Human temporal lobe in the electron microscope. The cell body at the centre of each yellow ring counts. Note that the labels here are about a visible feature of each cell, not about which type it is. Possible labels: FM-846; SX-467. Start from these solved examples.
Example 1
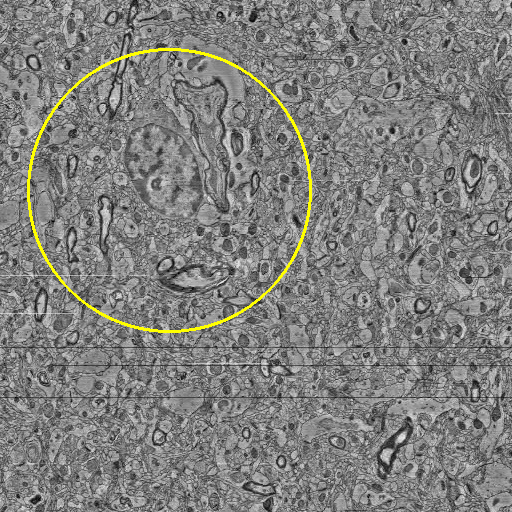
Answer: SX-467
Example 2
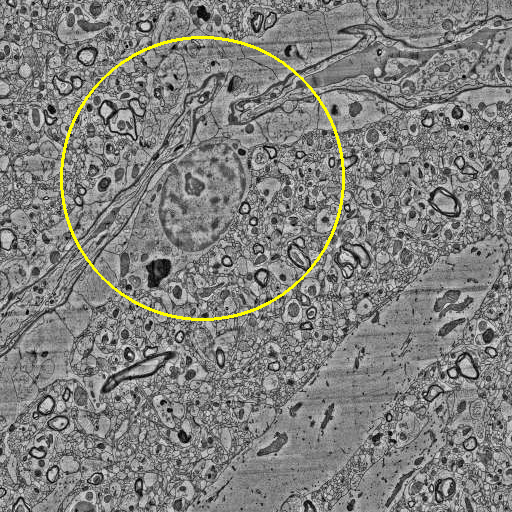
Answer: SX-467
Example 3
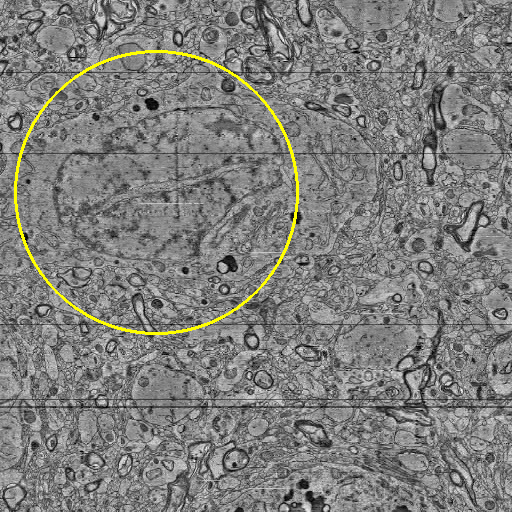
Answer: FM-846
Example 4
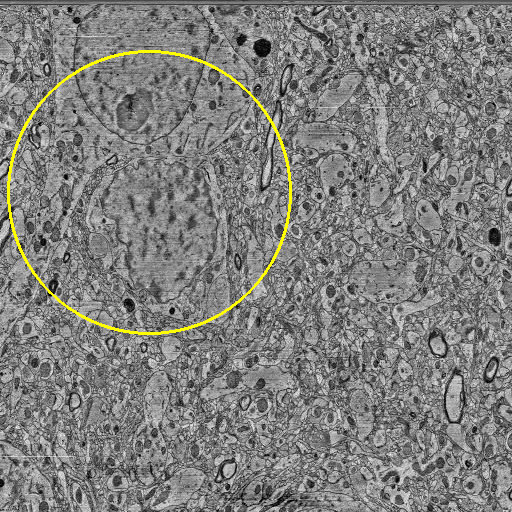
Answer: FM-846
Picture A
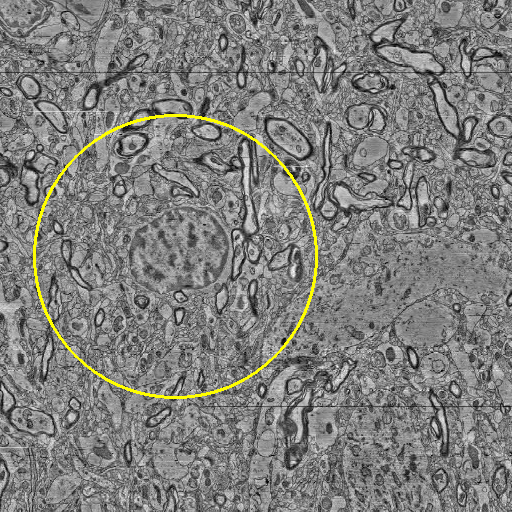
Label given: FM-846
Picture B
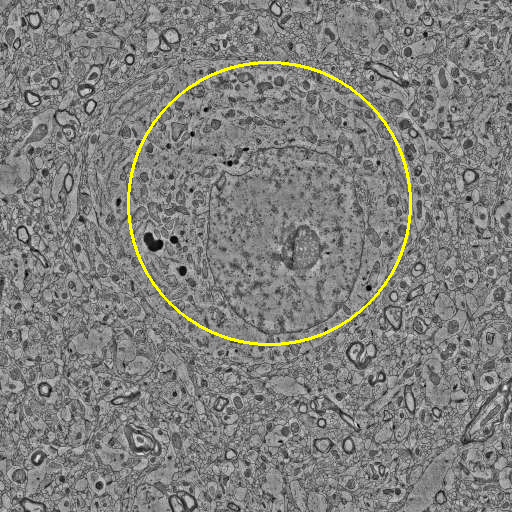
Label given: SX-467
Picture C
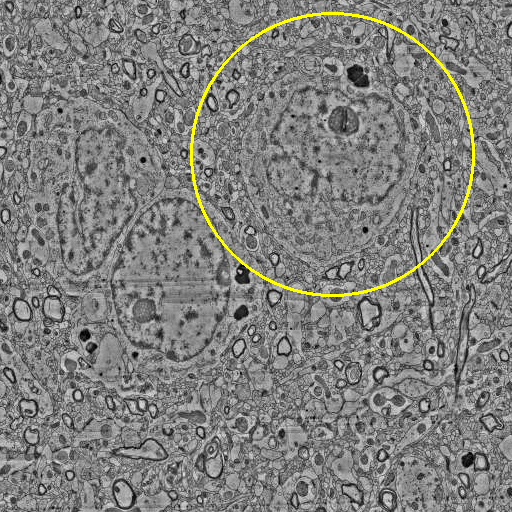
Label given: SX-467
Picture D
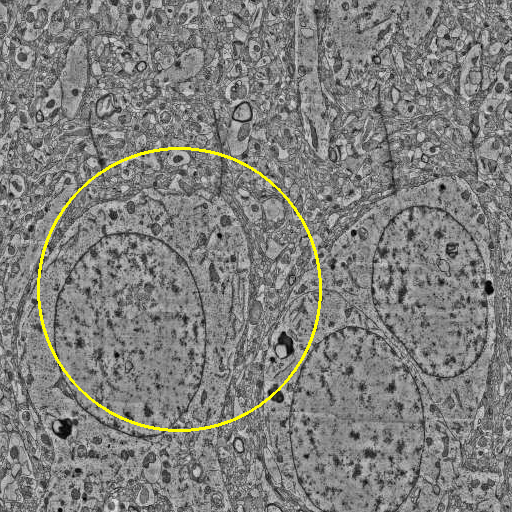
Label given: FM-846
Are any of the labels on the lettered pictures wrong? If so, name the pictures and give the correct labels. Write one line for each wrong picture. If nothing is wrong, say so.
None of the labels needs changing.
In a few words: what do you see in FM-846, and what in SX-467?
In FM-846: no nucleolus seen. In SX-467: nucleolus seen.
